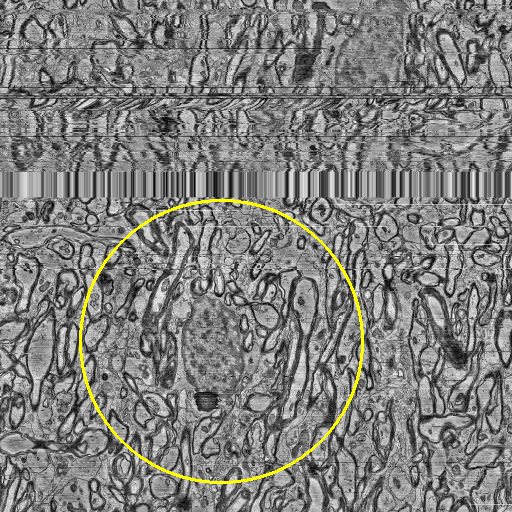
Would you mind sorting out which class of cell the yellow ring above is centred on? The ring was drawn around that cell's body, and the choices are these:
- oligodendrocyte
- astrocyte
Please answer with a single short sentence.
This is the cell body of an oligodendrocyte.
